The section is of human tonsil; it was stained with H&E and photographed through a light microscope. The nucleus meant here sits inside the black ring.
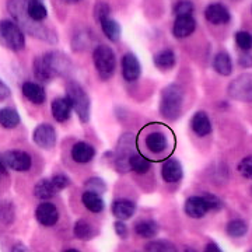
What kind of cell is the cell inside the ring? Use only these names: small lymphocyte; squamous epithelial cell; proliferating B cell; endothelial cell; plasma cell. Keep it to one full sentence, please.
In the tissue at hand, the cell inside the ring is a plasma cell.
